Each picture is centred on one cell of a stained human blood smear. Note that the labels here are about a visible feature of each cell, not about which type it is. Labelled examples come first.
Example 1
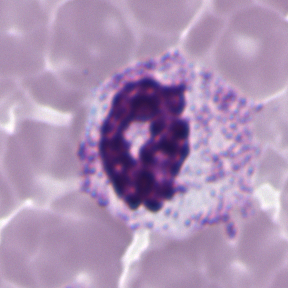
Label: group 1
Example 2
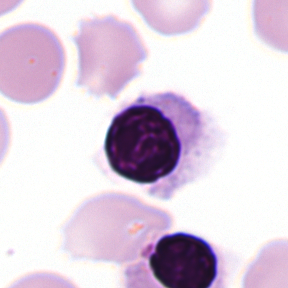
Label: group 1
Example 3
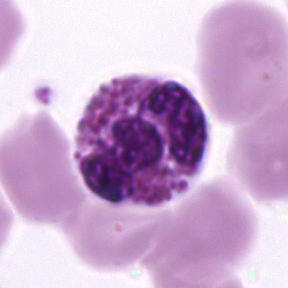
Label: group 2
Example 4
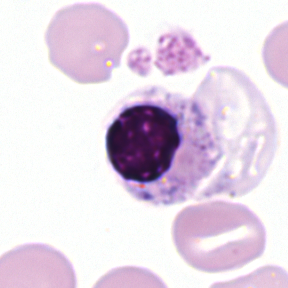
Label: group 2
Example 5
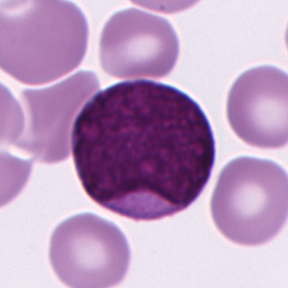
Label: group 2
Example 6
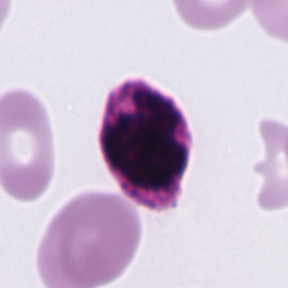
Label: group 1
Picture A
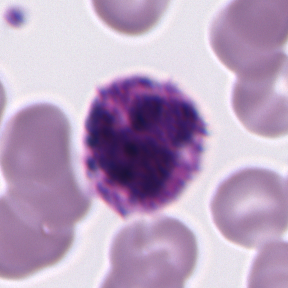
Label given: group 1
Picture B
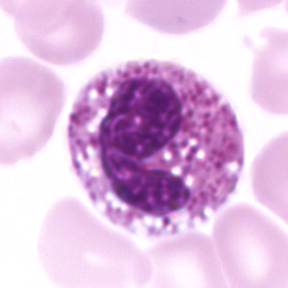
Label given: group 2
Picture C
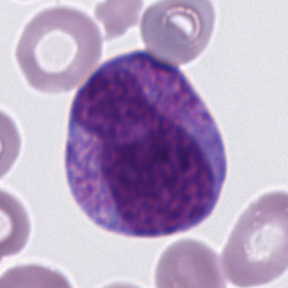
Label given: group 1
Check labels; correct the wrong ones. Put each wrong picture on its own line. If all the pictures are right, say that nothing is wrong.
C: not group 1 but group 2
